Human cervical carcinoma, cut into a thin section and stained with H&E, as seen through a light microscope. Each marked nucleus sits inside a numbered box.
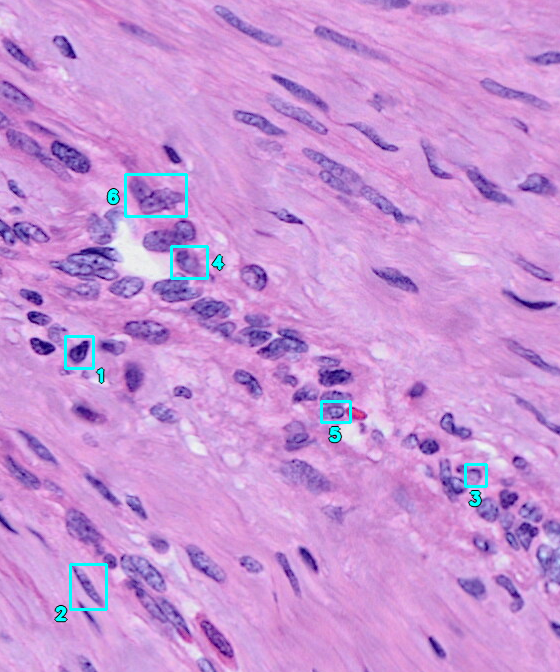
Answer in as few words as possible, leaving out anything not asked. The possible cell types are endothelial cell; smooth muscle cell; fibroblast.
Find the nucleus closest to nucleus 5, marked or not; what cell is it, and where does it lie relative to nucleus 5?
an endothelial cell, above nucleus 5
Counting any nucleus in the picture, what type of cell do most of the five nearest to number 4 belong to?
endothelial cell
